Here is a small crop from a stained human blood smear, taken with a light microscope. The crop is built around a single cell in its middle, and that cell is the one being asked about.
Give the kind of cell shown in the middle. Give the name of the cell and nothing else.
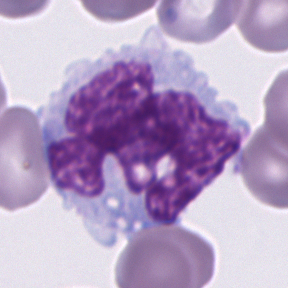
monocyte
